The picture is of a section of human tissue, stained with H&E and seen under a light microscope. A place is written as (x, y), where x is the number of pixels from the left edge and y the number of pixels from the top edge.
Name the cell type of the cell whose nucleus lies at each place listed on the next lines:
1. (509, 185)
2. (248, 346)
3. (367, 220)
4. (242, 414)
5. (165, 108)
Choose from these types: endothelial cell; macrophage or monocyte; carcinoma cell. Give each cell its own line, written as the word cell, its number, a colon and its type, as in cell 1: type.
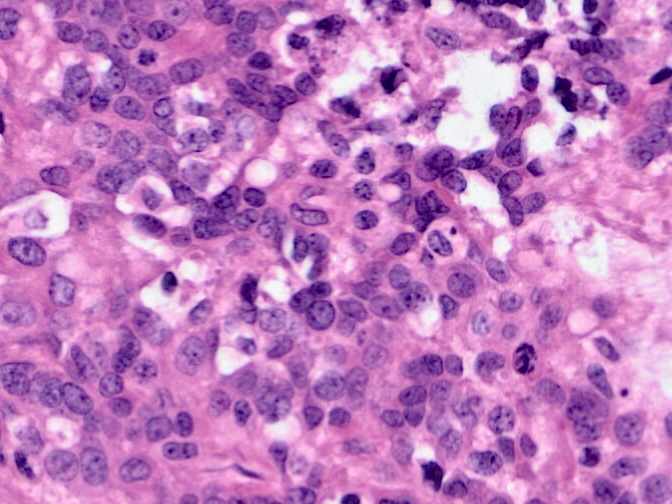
cell 1: carcinoma cell
cell 2: macrophage or monocyte
cell 3: macrophage or monocyte
cell 4: macrophage or monocyte
cell 5: carcinoma cell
